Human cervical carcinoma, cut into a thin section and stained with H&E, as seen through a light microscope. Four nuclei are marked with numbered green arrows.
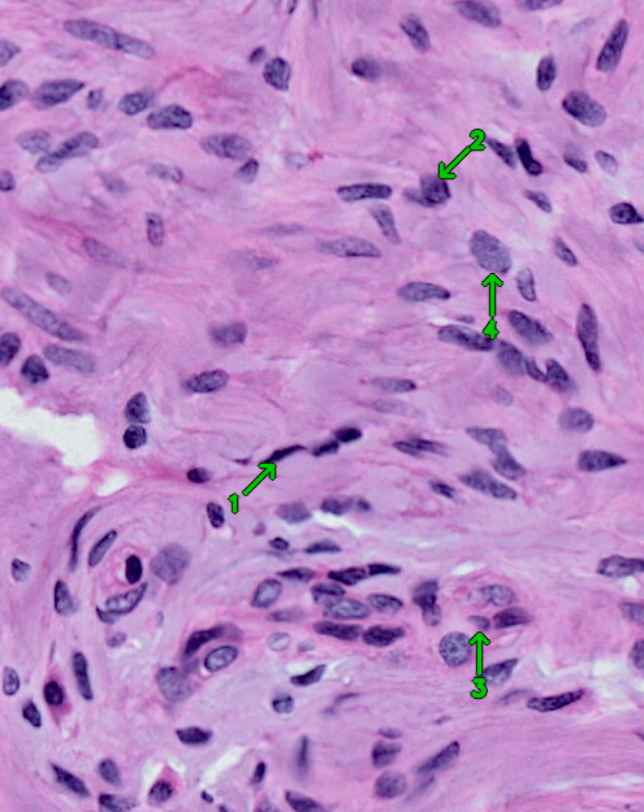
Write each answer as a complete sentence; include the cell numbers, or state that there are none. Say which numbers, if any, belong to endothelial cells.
Only the cell at mark 3 is an endothelial cell, and no other marked cell is.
